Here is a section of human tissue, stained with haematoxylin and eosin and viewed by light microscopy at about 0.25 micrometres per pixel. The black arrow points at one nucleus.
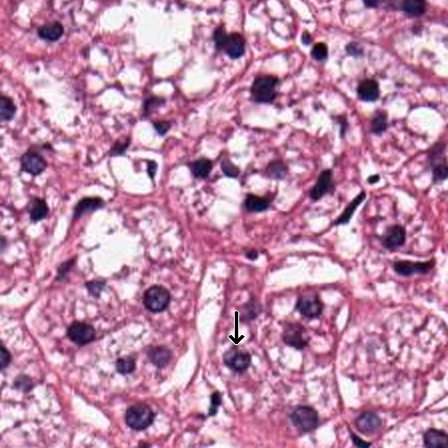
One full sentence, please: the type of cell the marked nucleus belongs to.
The cell that the marked nucleus belongs to is an adrenal cortical cell.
